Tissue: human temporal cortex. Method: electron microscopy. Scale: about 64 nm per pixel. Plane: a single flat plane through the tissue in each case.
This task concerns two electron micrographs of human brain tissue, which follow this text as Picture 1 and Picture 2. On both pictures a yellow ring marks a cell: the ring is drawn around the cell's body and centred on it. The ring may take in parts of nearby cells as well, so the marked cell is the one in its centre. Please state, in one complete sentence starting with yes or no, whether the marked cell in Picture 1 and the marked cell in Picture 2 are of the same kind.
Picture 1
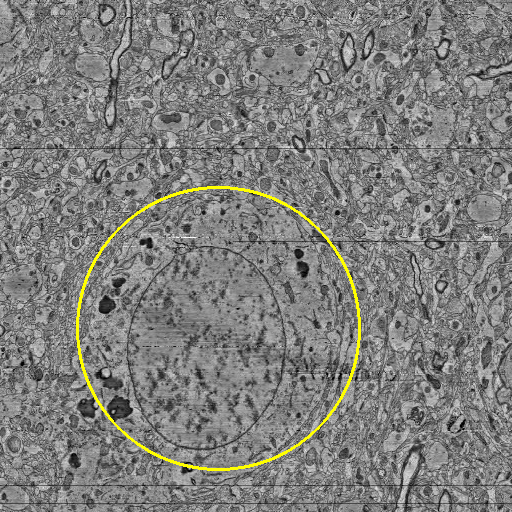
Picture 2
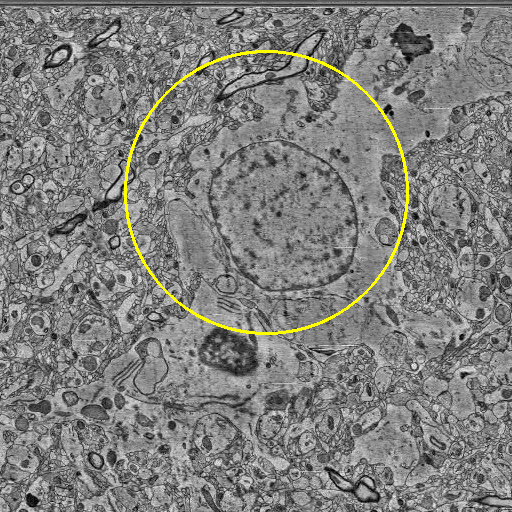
No, the marked cells in the two pictures are of two kinds.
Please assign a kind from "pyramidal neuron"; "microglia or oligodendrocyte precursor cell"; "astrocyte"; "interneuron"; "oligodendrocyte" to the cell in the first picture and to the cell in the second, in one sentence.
In the first picture we have a pyramidal neuron, and in the second, an astrocyte.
